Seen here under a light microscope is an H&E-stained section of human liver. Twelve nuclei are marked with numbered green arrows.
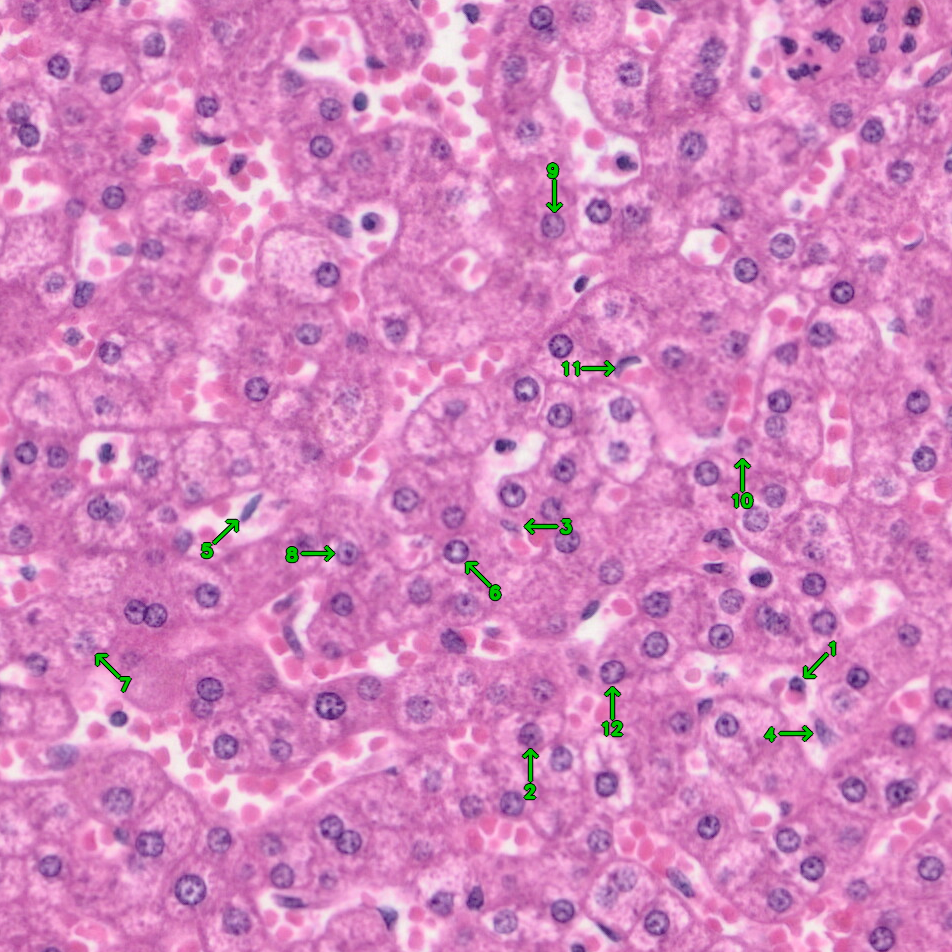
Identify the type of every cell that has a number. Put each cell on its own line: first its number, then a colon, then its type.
1: lymphocyte
2: hepatocyte
3: Kupffer cell
4: Kupffer cell
5: lymphocyte
6: hepatocyte
7: hepatocyte
8: hepatocyte
9: hepatocyte
10: hepatocyte
11: endothelial cell
12: hepatocyte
